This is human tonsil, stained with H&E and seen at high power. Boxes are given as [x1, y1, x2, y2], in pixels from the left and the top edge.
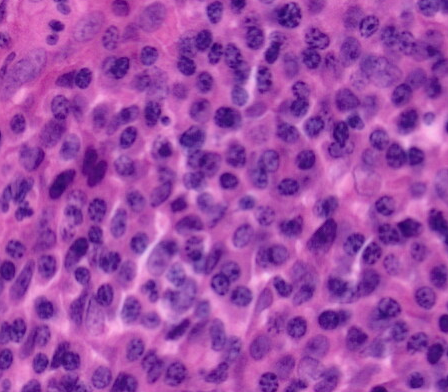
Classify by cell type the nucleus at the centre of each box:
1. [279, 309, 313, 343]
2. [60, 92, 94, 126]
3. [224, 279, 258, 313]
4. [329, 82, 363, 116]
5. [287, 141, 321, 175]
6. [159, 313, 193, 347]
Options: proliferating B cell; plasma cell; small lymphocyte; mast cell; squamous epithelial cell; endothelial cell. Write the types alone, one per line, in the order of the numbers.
plasma cell
squamous epithelial cell
plasma cell
squamous epithelial cell
plasma cell
squamous epithelial cell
